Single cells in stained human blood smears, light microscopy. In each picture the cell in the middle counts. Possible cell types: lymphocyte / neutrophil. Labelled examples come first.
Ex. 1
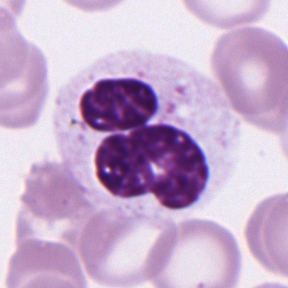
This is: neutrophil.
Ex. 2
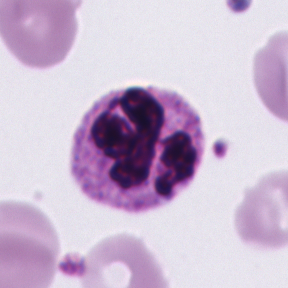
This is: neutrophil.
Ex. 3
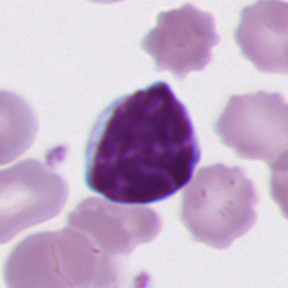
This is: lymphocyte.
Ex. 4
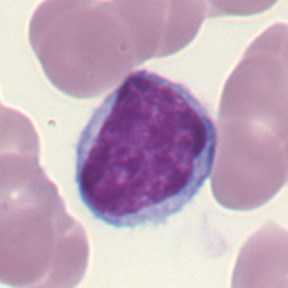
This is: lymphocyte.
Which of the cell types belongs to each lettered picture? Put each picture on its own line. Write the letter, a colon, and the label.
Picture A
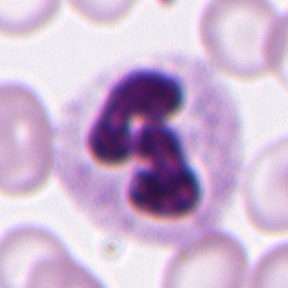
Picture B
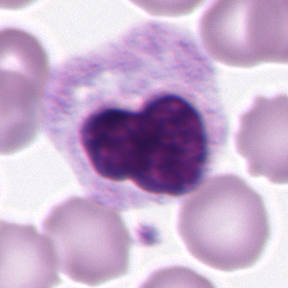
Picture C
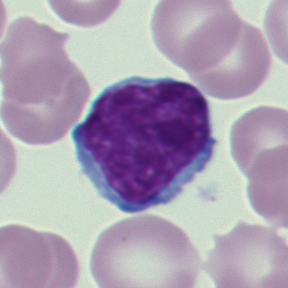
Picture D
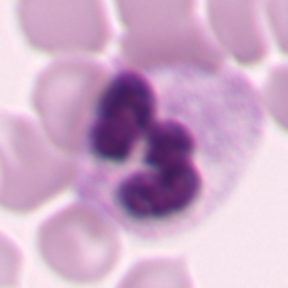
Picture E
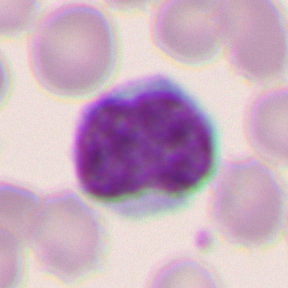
A: neutrophil.
B: neutrophil.
C: lymphocyte.
D: neutrophil.
E: lymphocyte.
